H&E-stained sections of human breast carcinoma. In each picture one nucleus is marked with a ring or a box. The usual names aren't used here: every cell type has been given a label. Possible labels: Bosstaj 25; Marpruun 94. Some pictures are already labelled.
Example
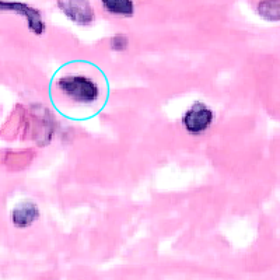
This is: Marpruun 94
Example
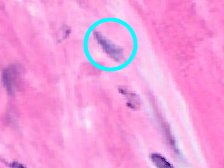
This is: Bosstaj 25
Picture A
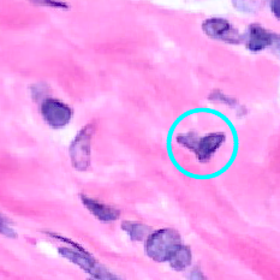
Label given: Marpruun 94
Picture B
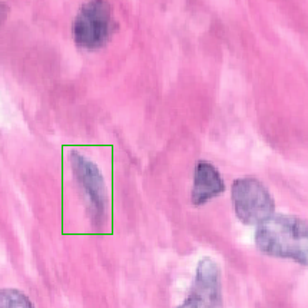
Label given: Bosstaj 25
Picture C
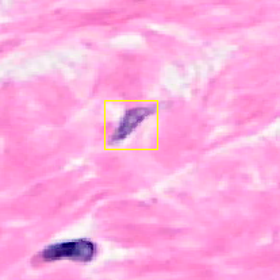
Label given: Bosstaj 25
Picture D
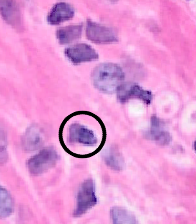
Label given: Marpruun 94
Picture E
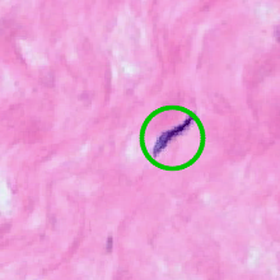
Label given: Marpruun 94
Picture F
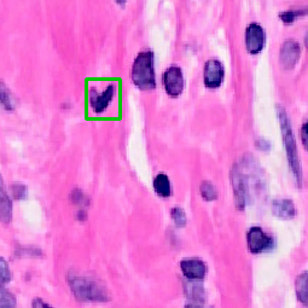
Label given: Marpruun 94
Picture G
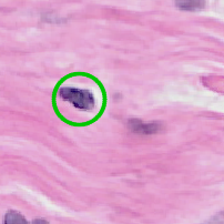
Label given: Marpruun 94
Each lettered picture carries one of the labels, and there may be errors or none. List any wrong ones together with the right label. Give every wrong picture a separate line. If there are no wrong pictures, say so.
E should be Bosstaj 25, not Marpruun 94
